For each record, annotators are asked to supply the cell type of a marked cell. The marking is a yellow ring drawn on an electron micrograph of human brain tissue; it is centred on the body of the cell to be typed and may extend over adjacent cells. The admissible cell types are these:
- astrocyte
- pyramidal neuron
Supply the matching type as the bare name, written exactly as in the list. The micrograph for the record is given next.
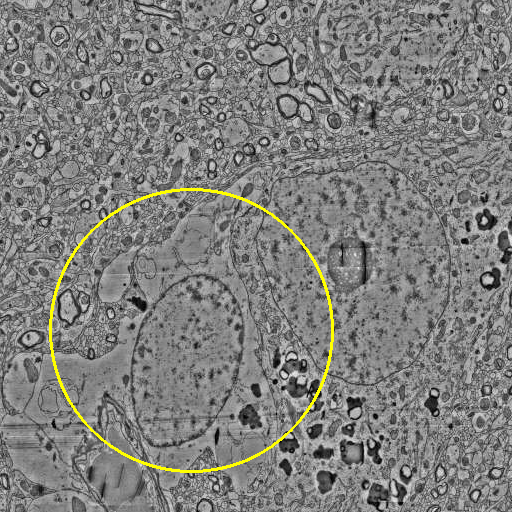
astrocyte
